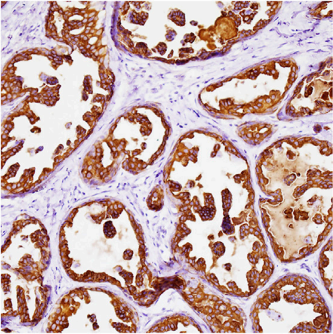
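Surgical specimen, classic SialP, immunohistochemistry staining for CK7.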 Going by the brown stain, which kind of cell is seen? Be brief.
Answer: Proliferating ductal epithelium.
